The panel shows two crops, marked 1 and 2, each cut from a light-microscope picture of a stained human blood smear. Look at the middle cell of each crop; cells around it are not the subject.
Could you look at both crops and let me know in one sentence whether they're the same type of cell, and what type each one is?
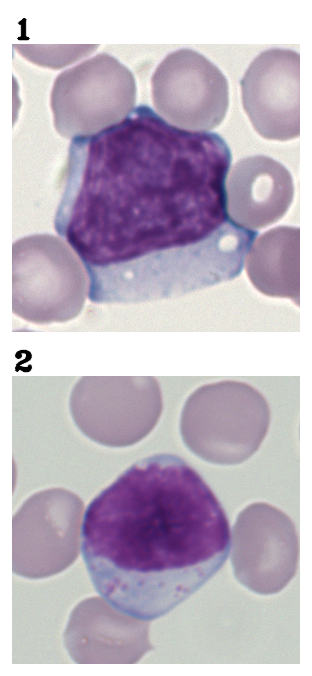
No, it is crop 1 that shows a myeloblast, and crop 2 shows a large granular lymphocyte.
